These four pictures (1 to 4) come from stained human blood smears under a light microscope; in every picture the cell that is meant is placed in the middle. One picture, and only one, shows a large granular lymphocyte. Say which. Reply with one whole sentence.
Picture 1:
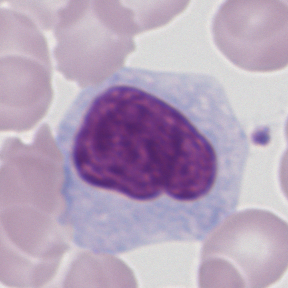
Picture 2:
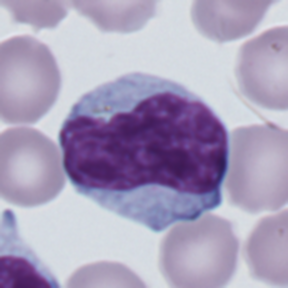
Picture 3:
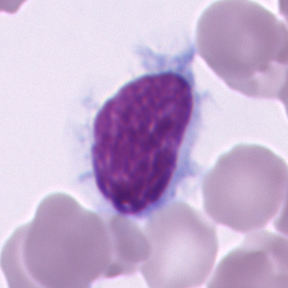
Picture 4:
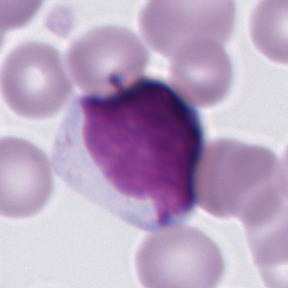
The large granular lymphocyte is the one in picture 4.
